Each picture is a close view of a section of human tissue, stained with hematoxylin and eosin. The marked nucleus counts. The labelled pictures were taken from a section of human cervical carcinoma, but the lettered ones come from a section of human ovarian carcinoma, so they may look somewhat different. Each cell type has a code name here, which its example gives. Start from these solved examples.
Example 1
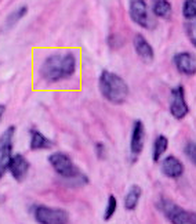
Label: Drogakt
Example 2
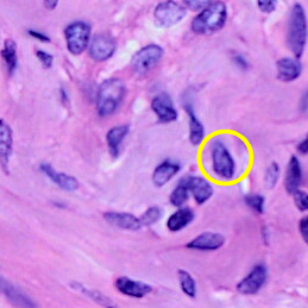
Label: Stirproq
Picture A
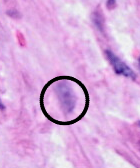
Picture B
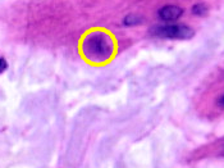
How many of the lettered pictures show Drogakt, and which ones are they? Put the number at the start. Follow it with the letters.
1, namely B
